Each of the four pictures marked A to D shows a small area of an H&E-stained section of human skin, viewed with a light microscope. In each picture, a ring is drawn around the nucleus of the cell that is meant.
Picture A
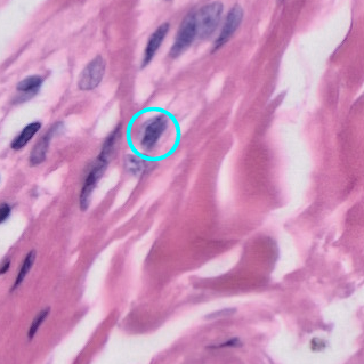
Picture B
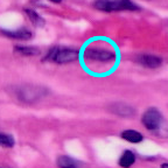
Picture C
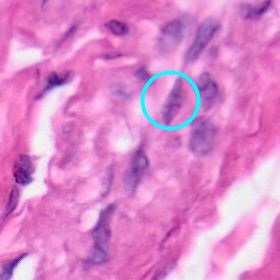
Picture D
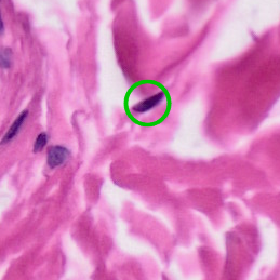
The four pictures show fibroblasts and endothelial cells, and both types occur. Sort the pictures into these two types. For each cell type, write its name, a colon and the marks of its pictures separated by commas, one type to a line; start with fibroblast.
fibroblast: D
endothelial cell: A, B, C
